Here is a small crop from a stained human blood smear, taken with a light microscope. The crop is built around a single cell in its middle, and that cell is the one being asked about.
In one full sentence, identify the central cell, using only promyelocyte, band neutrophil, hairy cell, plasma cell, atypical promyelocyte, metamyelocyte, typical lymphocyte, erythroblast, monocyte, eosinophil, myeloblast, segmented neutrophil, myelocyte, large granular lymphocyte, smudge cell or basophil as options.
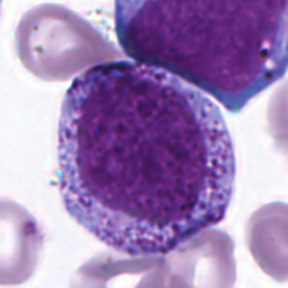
For this crop, the central cell is a promyelocyte.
